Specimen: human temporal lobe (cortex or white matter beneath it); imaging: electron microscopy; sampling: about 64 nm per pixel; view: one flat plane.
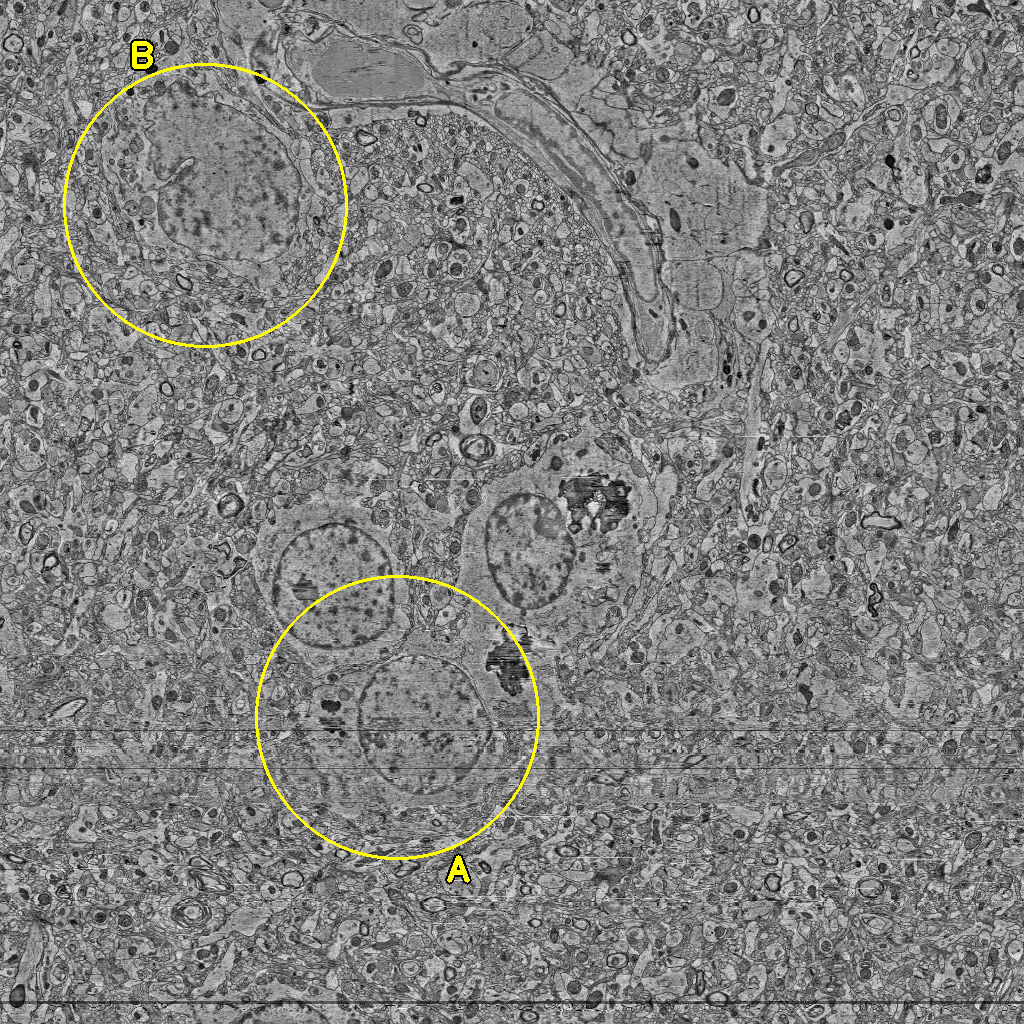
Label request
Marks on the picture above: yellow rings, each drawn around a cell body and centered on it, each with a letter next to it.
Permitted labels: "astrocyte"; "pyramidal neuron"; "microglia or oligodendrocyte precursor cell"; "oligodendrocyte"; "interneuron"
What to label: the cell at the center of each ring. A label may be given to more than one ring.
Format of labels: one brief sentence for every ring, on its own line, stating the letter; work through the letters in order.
The cell at the center of ring A is an astrocyte.
The cell at the center of ring B is an interneuron.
